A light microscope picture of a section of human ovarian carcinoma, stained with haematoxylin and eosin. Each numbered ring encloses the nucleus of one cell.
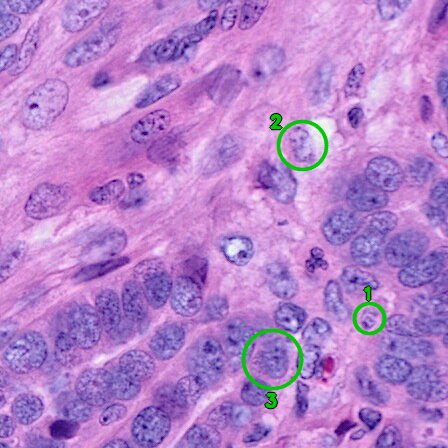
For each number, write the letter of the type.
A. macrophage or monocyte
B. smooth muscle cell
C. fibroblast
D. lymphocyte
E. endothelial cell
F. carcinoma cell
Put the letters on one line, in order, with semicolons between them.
A; C; F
